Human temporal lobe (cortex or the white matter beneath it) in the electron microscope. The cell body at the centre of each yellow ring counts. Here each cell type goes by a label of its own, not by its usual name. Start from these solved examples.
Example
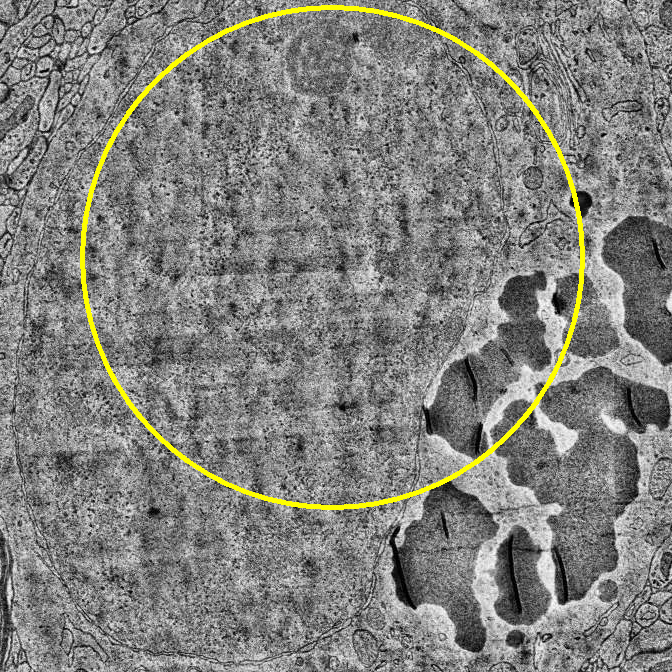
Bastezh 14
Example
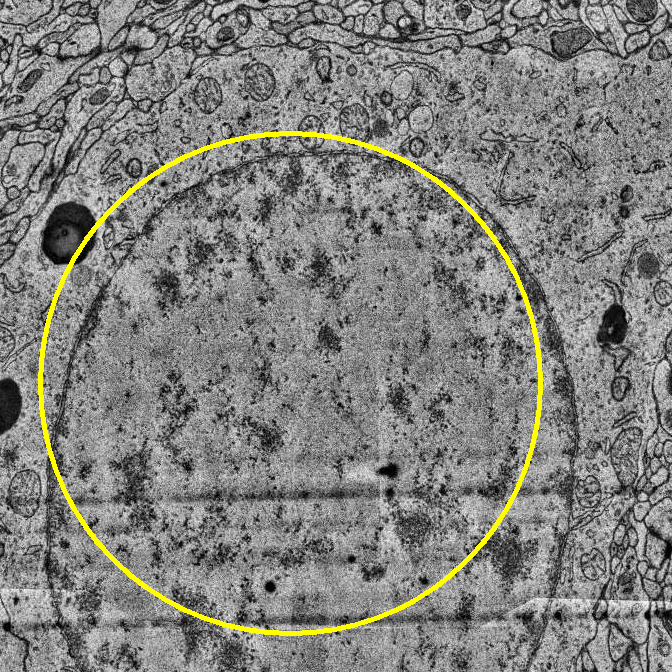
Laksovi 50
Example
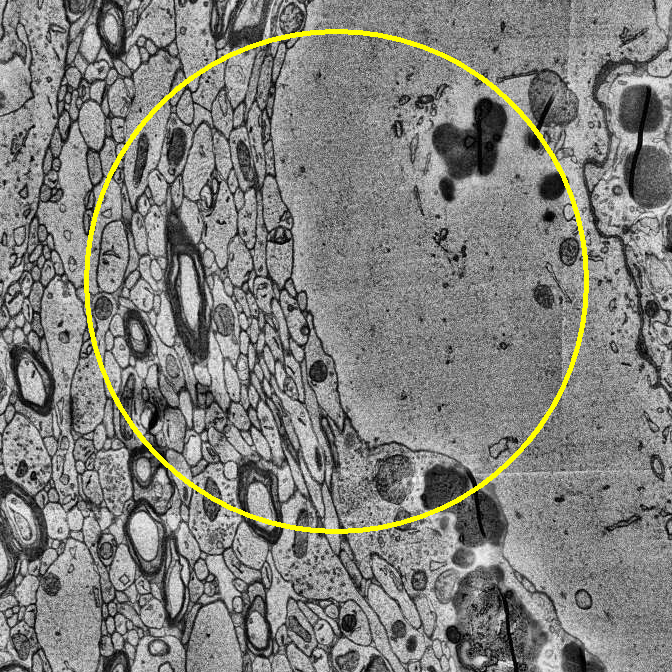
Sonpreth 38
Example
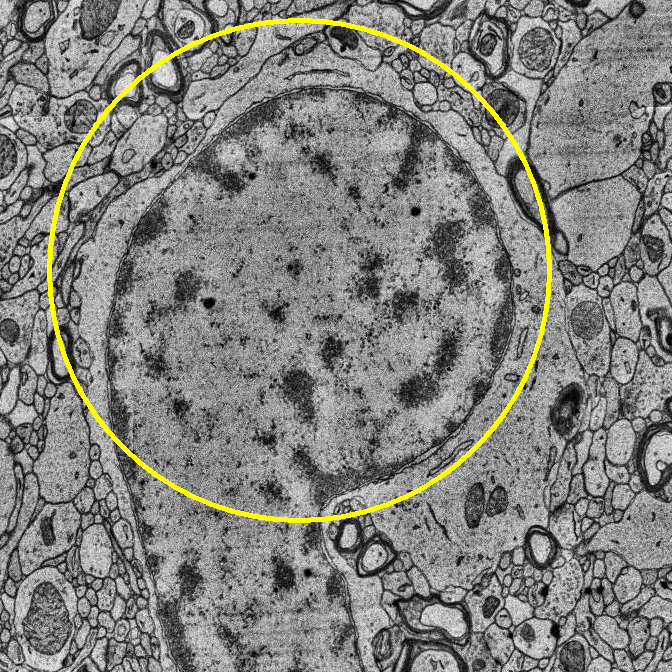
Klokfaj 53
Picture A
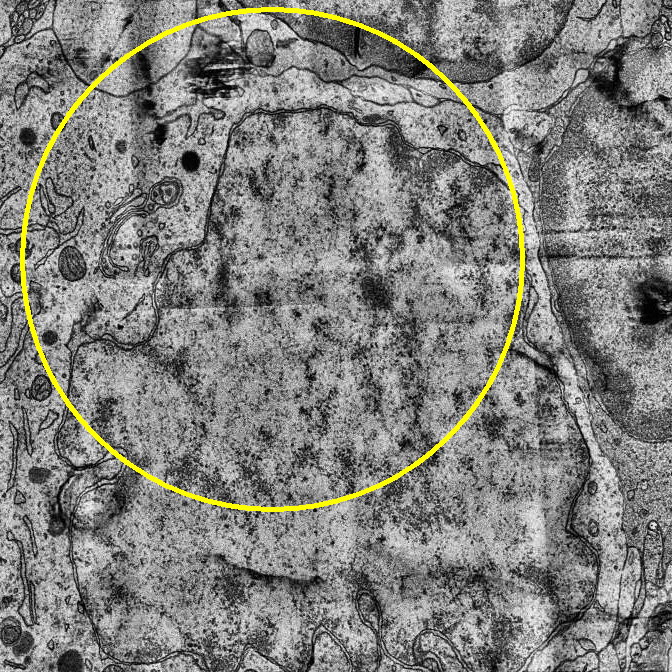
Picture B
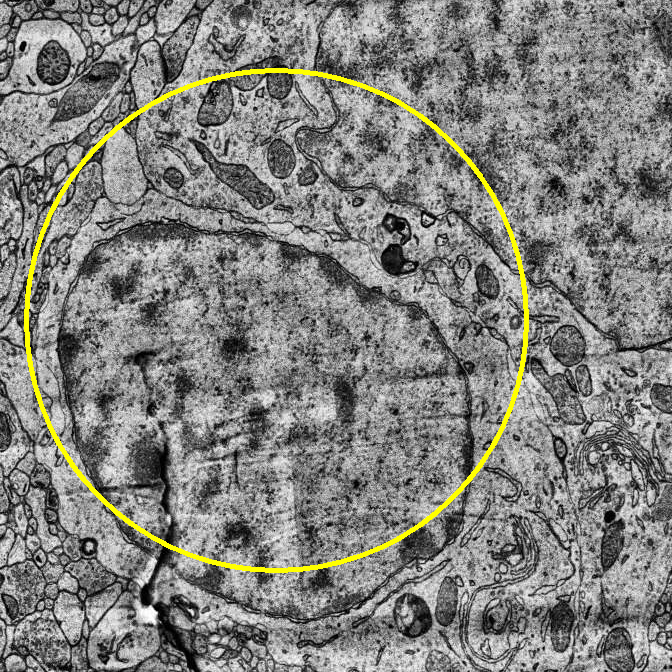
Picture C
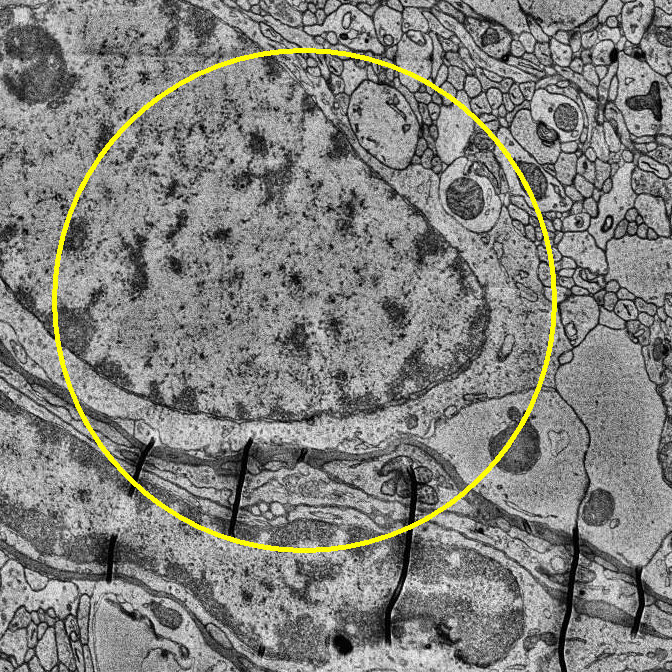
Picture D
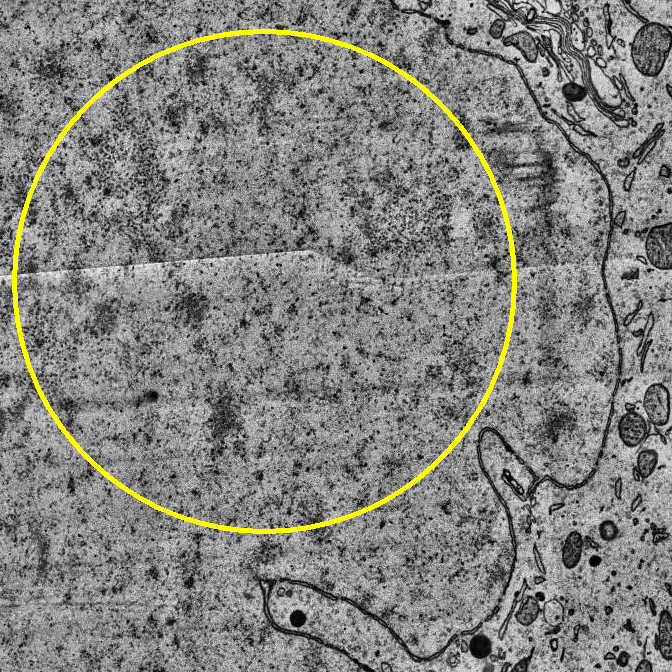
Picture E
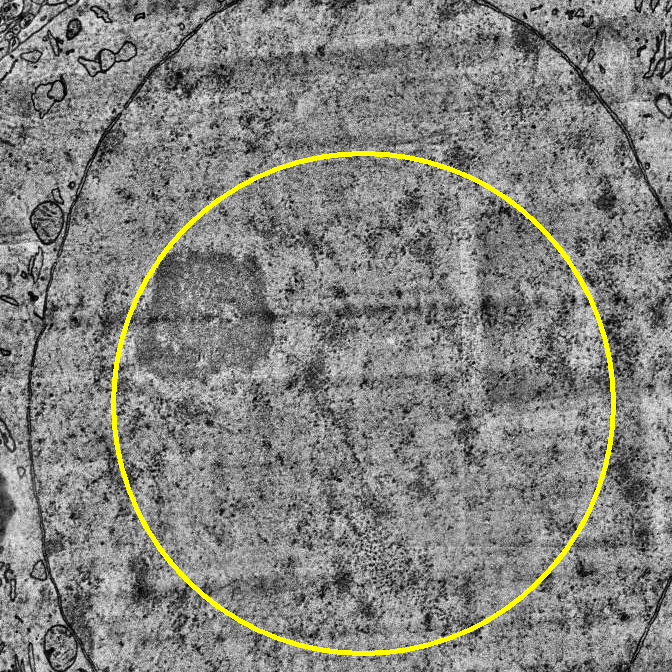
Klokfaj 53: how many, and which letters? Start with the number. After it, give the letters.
Count: 2 (B, C)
